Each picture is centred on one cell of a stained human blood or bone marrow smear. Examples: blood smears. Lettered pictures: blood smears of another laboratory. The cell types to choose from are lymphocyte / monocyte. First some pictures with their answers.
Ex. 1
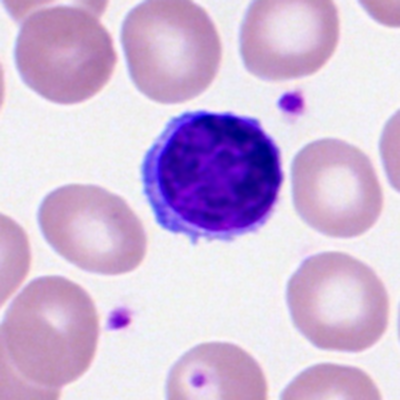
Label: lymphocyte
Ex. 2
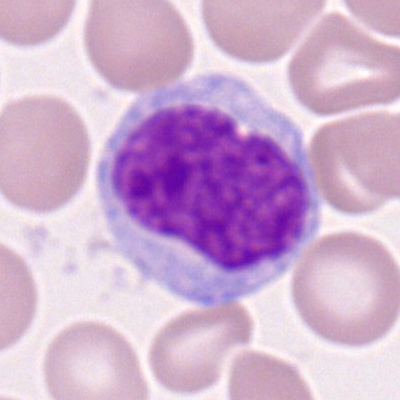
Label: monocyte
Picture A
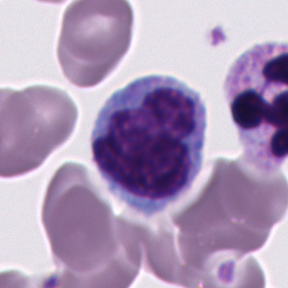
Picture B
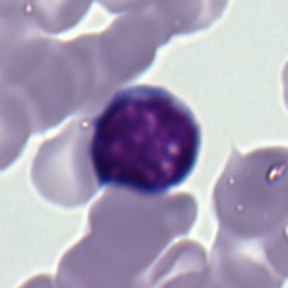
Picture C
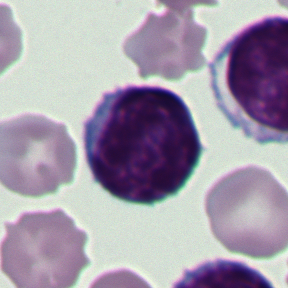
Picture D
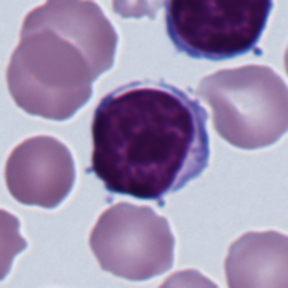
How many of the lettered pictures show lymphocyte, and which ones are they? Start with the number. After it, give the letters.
Count: 3 (B, C, D)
